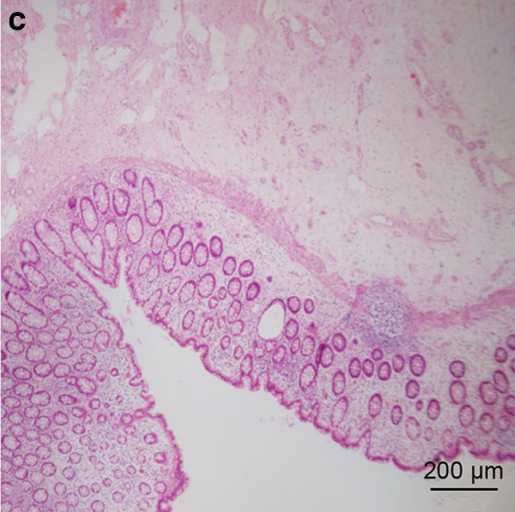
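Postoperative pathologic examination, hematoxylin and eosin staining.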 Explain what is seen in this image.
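This is intestinal mucosa seen at low power, with a band of regularly spaced round and oval crypts cut across in a pale lamina propria. A small, denser cluster of cells sits at the base of the mucosa toward the right, and loose, pale submucosa lies above. No crowded, distorted glands like those of a tumour are seen.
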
